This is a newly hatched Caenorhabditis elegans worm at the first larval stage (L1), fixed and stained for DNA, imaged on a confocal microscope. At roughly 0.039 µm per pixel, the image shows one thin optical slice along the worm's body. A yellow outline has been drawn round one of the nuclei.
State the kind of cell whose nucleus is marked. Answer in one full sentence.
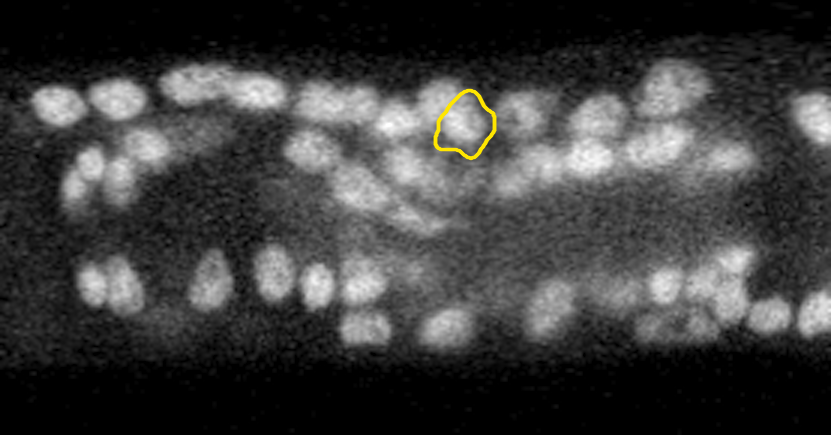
It belongs to a neuron.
